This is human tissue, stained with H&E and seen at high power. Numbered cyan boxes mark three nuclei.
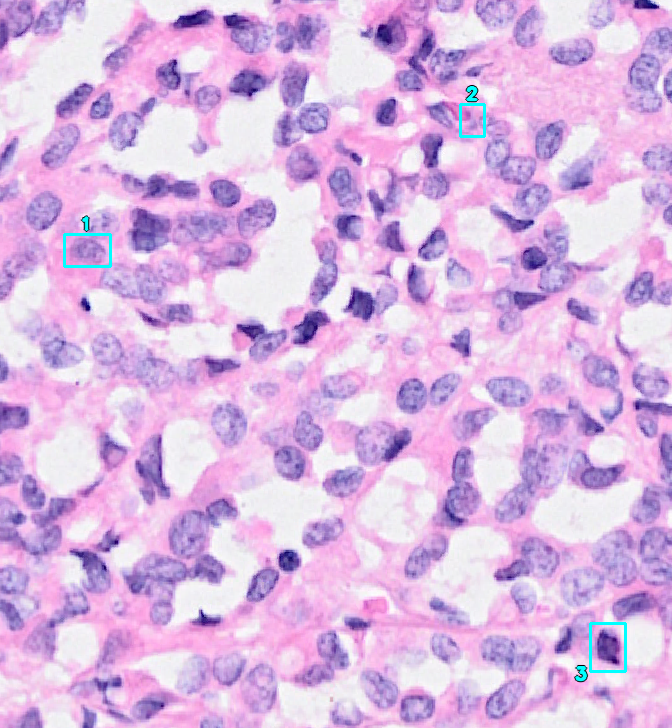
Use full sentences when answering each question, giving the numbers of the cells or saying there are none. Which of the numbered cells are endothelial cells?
Only the cell numbered 2 is an endothelial cell; none of the others is.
